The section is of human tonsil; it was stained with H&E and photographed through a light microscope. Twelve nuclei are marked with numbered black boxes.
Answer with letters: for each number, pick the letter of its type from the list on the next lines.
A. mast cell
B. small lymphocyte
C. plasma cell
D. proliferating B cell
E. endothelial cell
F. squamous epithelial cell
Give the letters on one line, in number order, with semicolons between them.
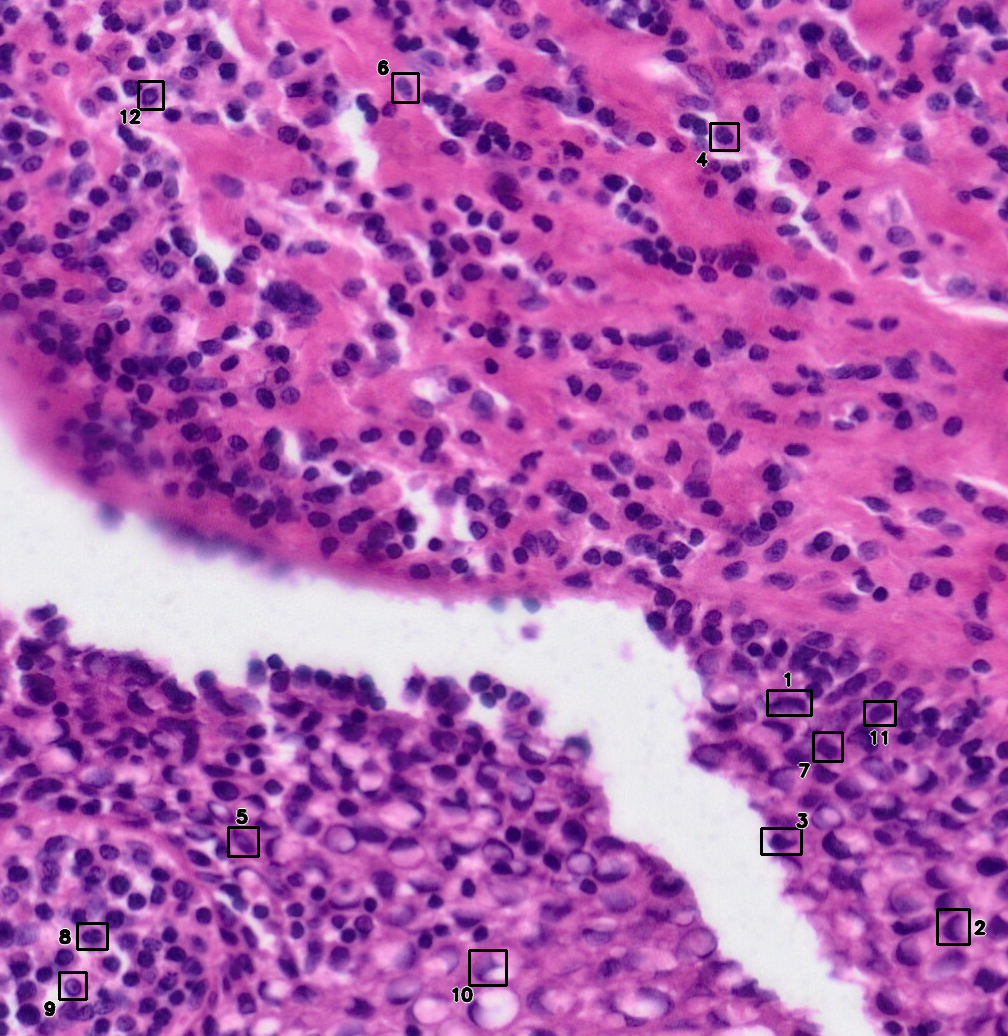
F; F; F; C; F; A; F; C; C; F; F; C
